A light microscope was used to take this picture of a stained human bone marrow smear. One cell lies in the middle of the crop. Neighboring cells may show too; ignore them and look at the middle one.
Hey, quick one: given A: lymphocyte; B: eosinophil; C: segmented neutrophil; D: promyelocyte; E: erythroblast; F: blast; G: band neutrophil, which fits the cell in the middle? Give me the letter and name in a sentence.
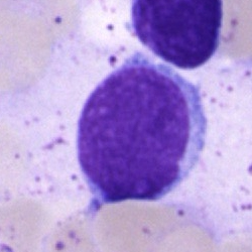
The correct option is F, as the central cell is a blast.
